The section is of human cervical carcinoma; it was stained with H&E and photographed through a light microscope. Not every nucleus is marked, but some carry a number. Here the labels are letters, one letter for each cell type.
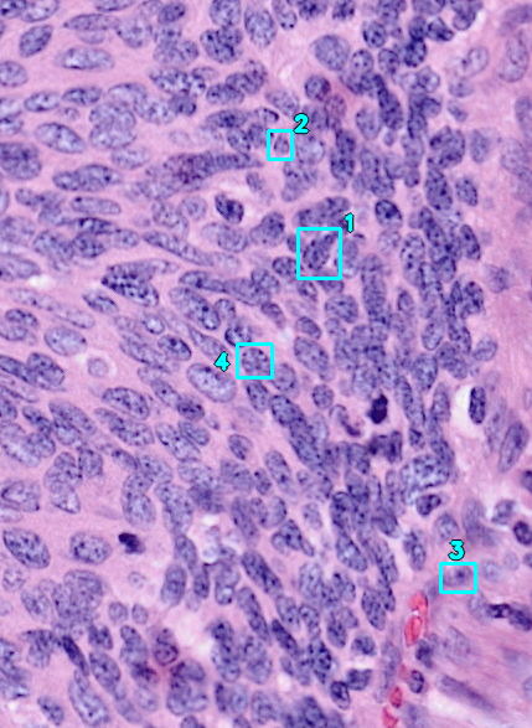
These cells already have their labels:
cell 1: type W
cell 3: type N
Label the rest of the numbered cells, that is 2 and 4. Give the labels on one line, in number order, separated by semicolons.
type W; type W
